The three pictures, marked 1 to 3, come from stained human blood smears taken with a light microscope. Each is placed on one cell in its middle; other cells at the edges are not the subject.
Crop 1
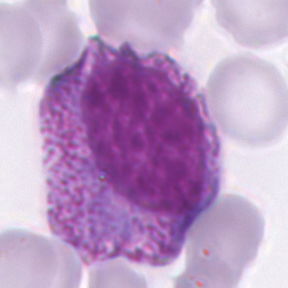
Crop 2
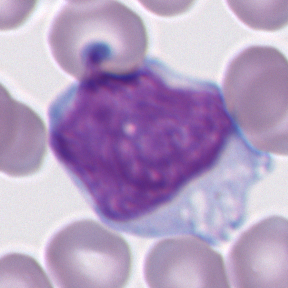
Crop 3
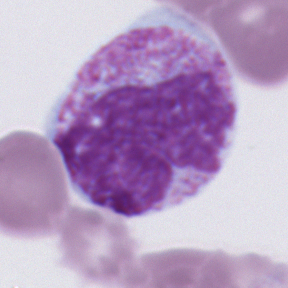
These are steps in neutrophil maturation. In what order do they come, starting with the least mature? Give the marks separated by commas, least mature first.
2, 1, 3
